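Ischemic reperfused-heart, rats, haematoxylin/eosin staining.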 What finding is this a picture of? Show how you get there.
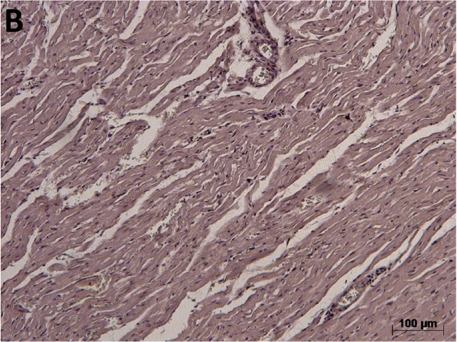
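Wide, clear, empty gaps separate the muscle fibers into bands. Fibers look disrupted and irregular compared with a compact layout. So: tissue damage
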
